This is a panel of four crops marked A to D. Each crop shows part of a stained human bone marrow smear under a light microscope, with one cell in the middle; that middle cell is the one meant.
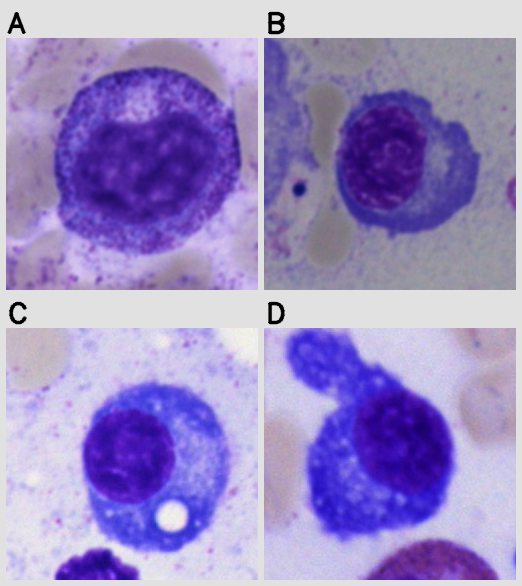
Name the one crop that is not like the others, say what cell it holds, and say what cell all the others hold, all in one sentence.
Only crop A differs, being a promyelocyte, while the others all show plasma cells.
